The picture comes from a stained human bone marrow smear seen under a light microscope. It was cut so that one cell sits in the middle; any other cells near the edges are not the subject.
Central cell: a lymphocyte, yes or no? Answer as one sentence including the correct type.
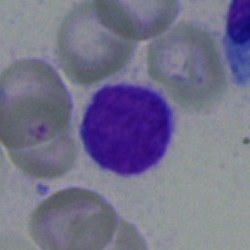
Yes, the cell located at the center is a lymphocyte.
